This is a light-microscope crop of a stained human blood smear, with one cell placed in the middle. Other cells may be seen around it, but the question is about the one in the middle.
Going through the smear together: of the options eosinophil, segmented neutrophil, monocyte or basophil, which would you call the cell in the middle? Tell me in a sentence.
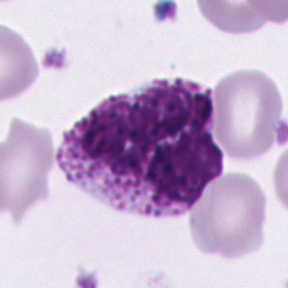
The single cell at the center of the crop is a basophil.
